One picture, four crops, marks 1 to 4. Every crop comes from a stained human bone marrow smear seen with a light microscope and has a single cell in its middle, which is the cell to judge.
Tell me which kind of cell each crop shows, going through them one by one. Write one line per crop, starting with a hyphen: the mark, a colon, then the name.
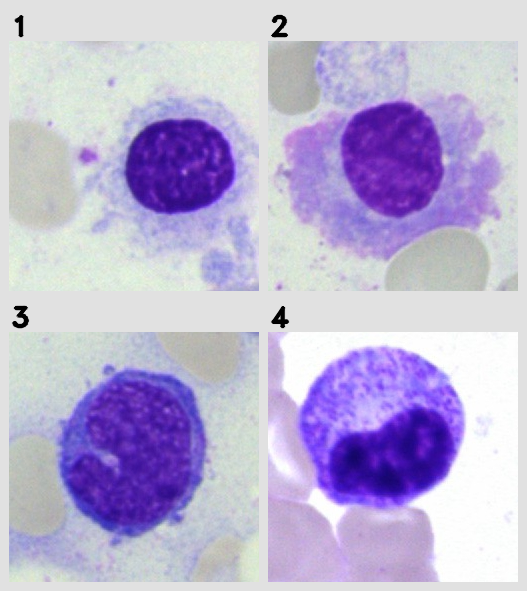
- 1: hairy cell
- 2: plasma cell
- 3: monocyte
- 4: metamyelocyte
